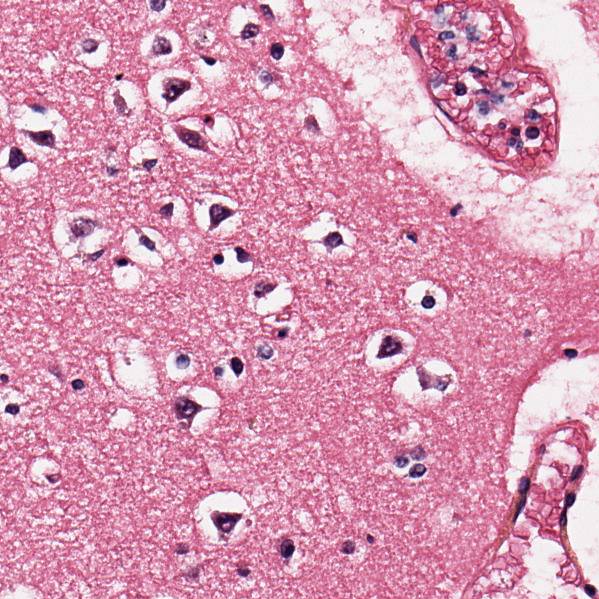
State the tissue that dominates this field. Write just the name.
cerebral cortex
